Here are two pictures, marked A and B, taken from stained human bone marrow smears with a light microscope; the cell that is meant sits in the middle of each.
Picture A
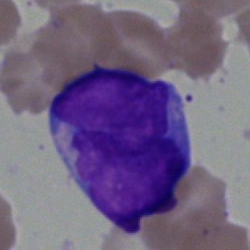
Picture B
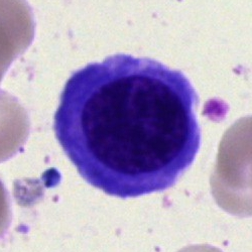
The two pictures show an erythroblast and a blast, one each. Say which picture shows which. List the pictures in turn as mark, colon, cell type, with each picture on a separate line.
A: blast
B: erythroblast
